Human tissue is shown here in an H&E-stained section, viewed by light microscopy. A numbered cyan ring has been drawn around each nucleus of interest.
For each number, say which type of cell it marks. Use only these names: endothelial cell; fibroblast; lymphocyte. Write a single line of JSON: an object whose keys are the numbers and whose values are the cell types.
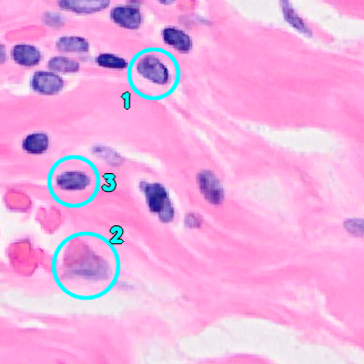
{"1": "lymphocyte", "2": "endothelial cell", "3": "lymphocyte"}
